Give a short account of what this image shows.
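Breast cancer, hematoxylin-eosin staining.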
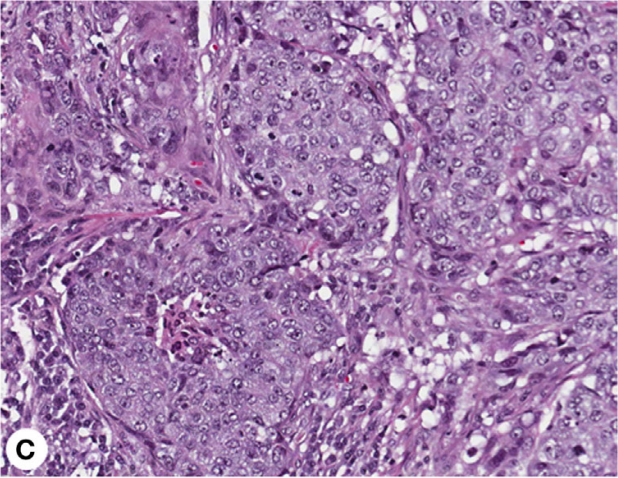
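This is an invasive ductal carcinoma: large tumor cells are arranged in solid nests and sheets separated by strands of fibrous stroma. Small clear vacuoles lie scattered among the cells and stroma.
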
